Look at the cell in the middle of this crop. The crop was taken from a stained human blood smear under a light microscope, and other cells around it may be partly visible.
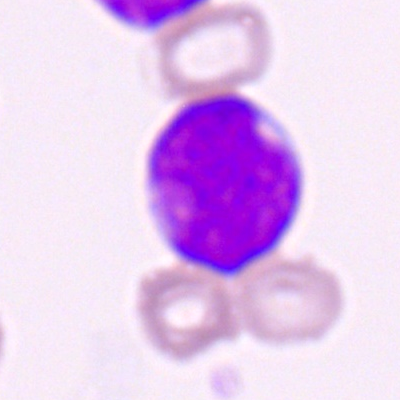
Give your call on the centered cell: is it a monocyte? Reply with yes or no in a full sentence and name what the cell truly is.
No, this cell in the middle is a myeloblast, so it is not a monocyte.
